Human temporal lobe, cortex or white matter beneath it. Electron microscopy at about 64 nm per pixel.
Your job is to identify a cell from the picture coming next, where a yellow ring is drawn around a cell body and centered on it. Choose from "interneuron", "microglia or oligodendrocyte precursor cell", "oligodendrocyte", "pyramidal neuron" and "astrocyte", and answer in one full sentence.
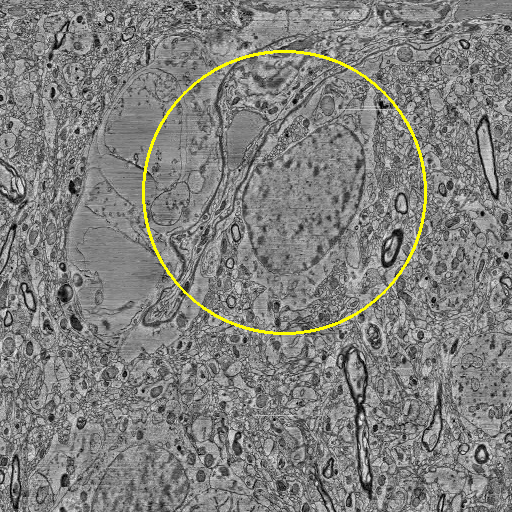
Centered in the yellow ring of the picture is the body of a microglial cell or oligodendrocyte precursor cell.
